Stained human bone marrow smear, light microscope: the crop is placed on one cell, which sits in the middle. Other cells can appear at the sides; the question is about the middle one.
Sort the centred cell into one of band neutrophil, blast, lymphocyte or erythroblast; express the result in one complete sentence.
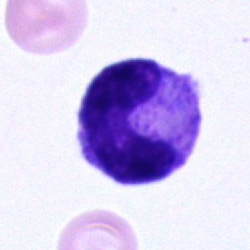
As for the cell in the middle, it is a band neutrophil.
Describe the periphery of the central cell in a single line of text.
The cell margin is rough and uneven, either ragged or drawn into projections.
